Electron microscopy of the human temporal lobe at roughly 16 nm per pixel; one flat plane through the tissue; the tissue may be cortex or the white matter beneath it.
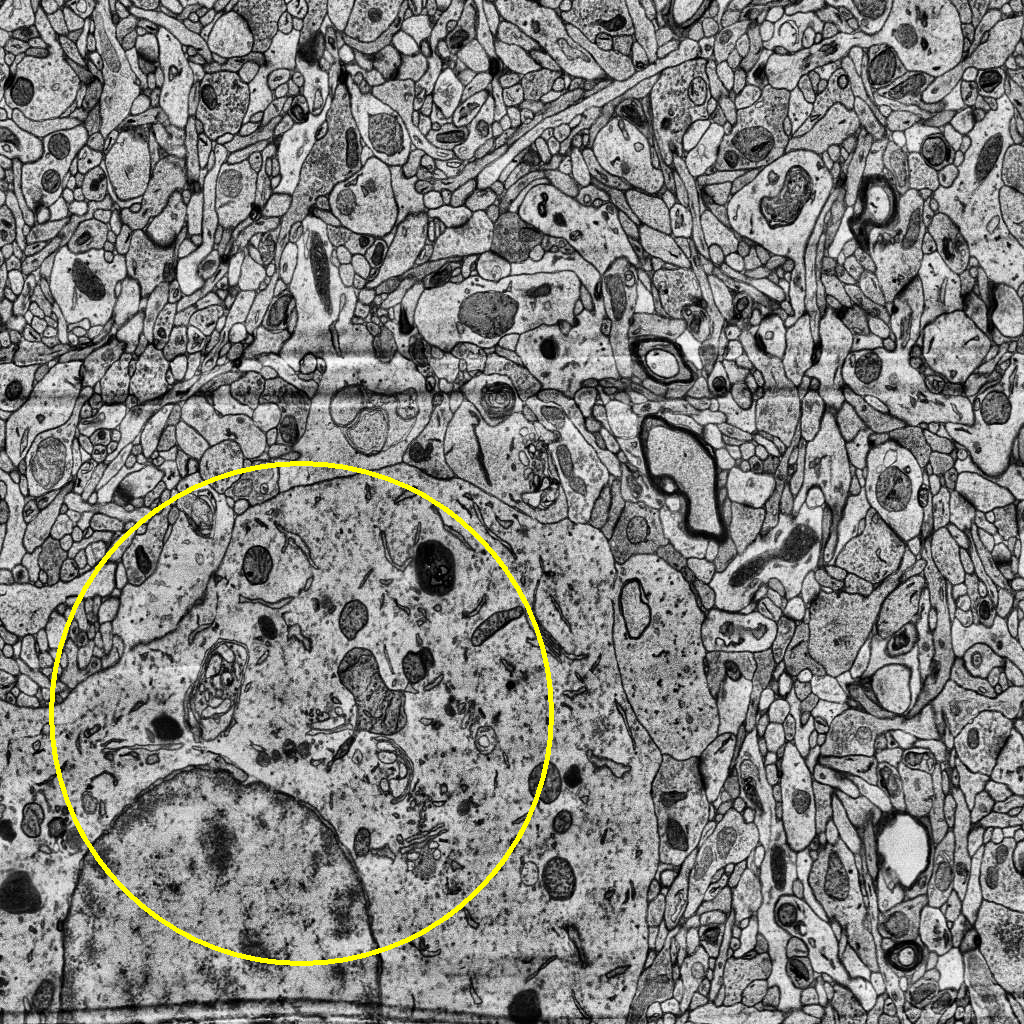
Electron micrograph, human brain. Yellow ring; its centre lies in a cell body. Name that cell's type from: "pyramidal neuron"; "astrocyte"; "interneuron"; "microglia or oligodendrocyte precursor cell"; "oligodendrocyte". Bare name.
pyramidal neuron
